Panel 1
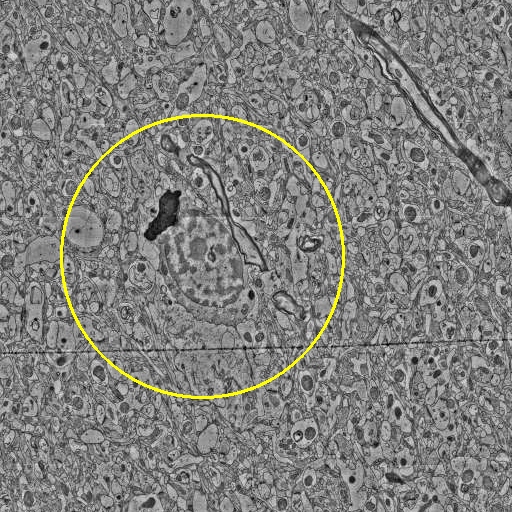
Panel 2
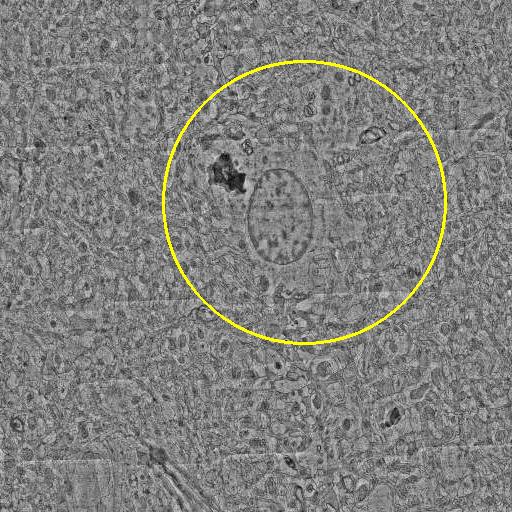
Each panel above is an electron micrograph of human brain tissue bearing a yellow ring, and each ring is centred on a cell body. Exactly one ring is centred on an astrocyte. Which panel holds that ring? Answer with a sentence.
That ring is in Panel 2.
